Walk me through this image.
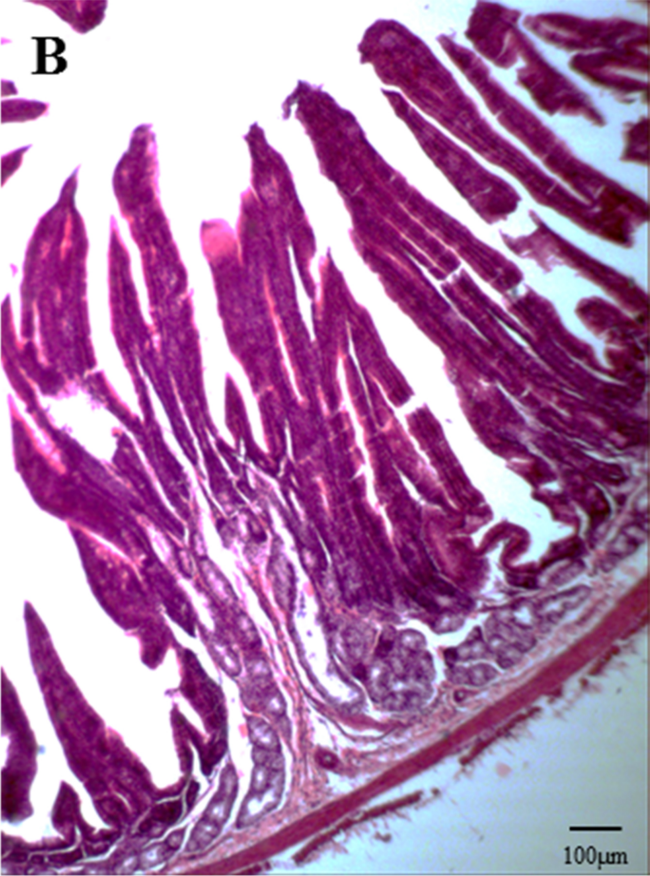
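This section of the duodenal wall shows long, slender villi that project into the lumen and are separated by wide clear spaces. Rounded crypt and gland profiles sit at the base of the mucosa. A continuous band of pink smooth muscle curves along the outer edge of the wall.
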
